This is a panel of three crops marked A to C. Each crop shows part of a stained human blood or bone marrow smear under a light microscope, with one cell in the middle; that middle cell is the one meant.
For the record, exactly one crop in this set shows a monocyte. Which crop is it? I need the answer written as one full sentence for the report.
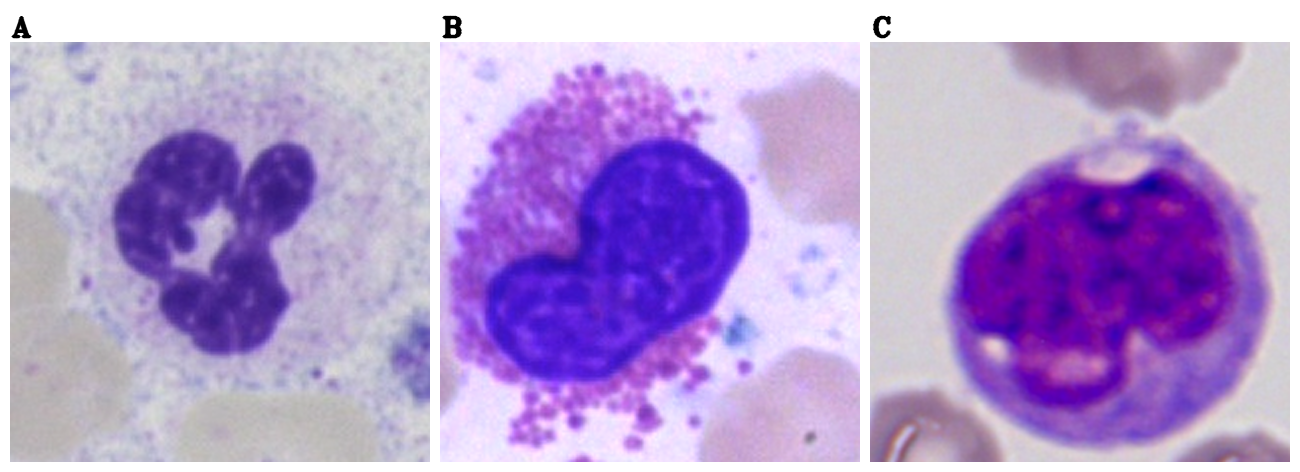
The requested cell, a monocyte, is the one in crop C.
